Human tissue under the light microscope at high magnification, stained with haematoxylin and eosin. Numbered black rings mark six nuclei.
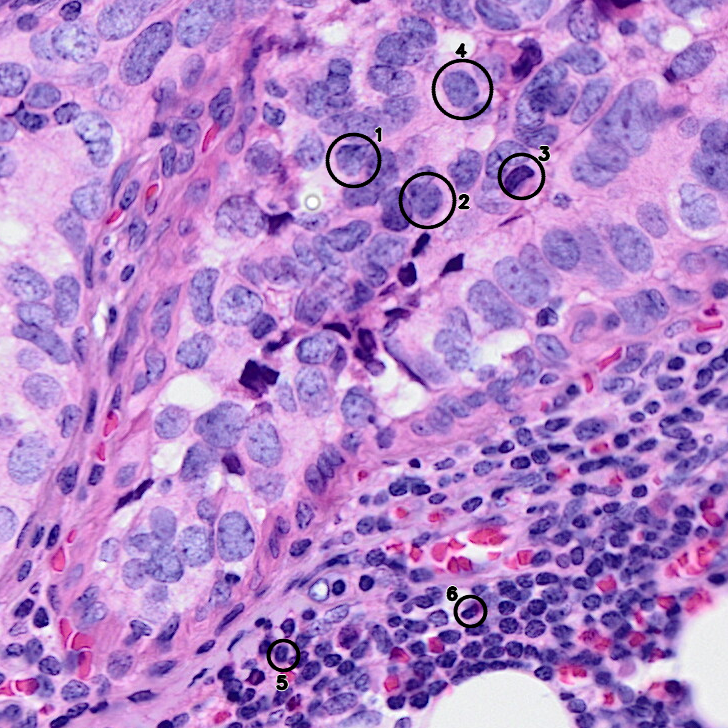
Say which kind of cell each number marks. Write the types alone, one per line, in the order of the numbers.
carcinoma cell
carcinoma cell
carcinoma cell
carcinoma cell
lymphocyte
lymphocyte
